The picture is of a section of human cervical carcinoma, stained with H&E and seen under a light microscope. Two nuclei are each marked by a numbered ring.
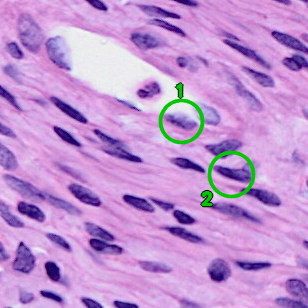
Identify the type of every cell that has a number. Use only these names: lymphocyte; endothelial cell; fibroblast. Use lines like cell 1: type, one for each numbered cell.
cell 1: endothelial cell
cell 2: fibroblast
